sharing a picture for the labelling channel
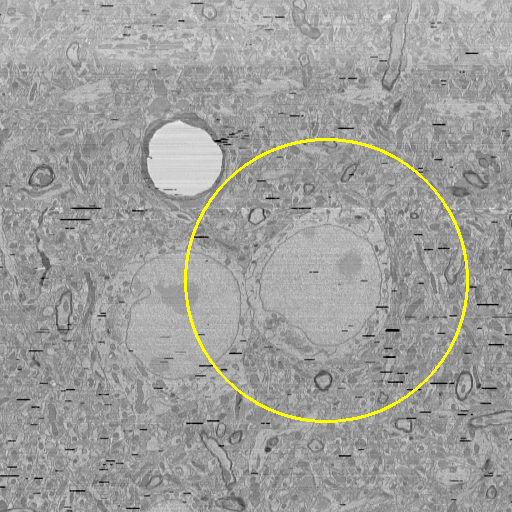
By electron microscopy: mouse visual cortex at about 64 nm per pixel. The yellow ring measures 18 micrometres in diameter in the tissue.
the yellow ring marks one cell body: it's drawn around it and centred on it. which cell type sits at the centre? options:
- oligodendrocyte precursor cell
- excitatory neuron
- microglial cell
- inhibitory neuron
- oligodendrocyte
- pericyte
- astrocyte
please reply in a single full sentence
In the picture, the cell at the ring's centre is an excitatory neuron, going by the list.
